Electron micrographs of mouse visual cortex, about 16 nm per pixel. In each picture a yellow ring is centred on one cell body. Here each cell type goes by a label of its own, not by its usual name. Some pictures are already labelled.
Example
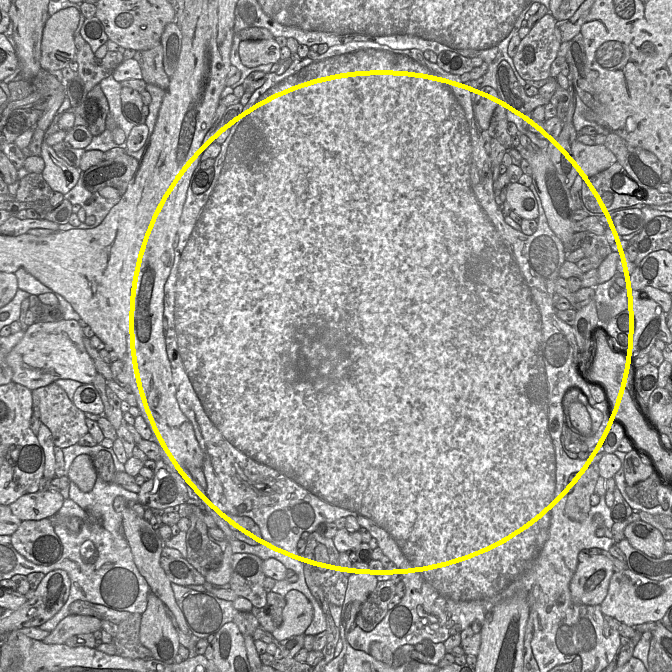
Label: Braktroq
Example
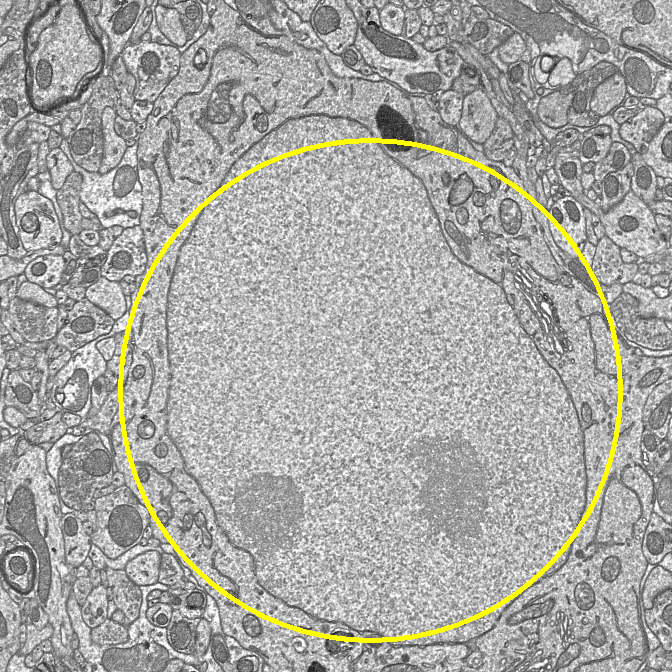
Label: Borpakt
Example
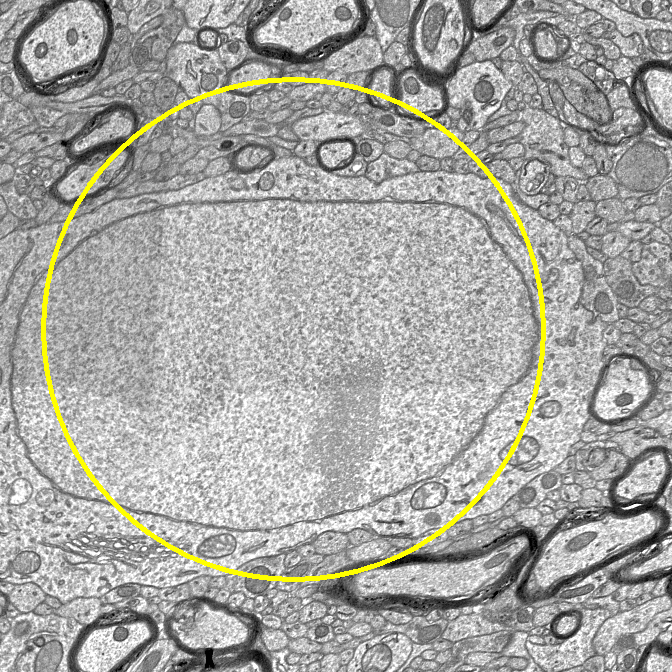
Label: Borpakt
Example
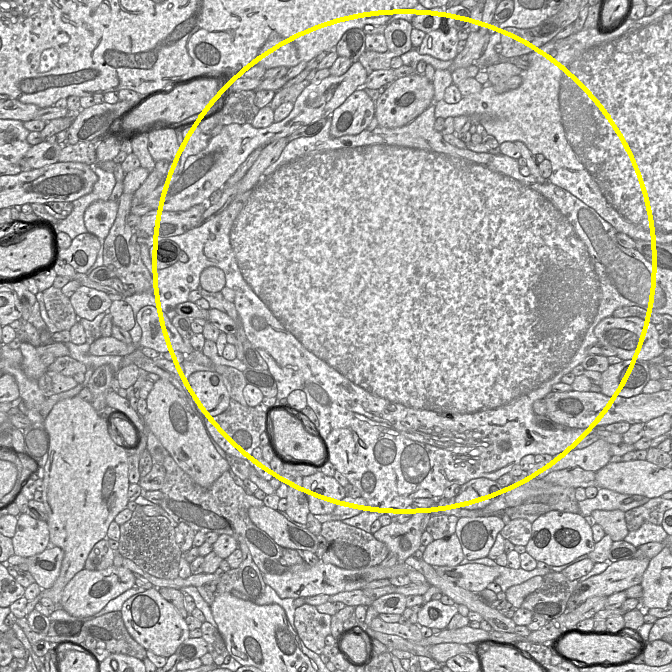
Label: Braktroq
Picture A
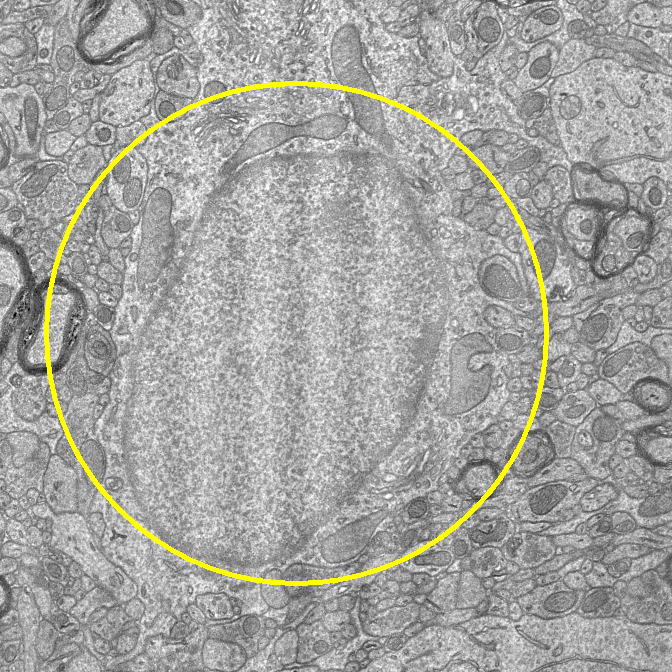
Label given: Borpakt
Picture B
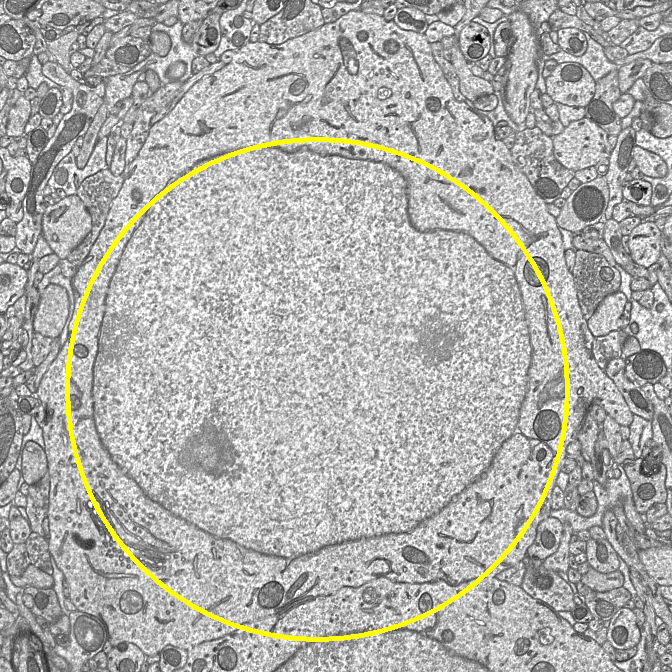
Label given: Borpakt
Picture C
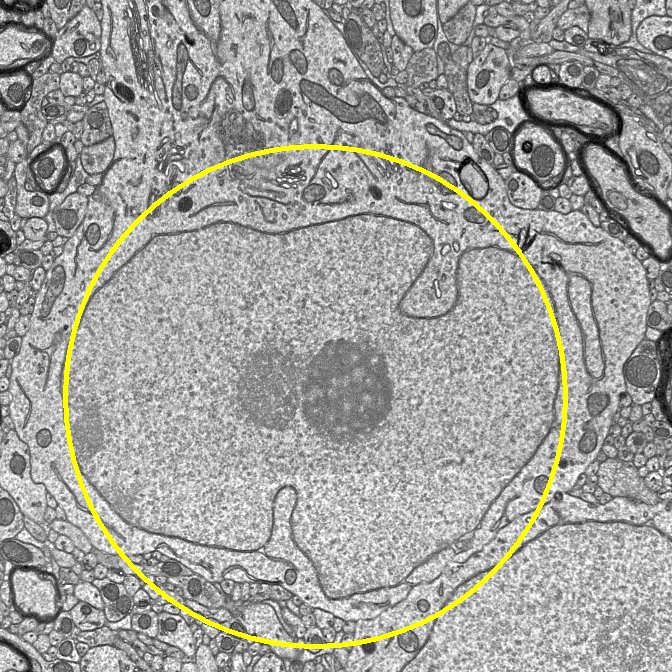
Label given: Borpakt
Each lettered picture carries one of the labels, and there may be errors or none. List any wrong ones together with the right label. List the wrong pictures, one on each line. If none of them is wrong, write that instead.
A is labelled Borpakt; correct label: Braktroq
